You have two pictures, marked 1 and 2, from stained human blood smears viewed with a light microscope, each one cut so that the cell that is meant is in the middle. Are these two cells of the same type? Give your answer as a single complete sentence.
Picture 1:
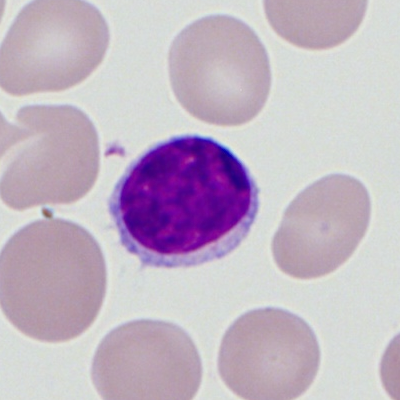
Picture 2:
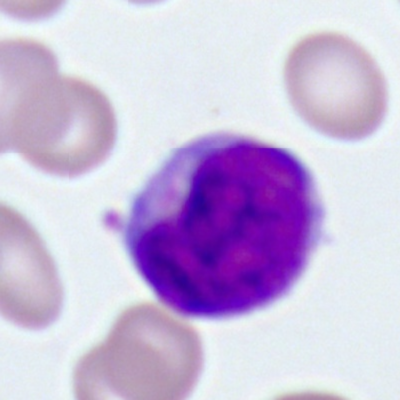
No; the cell in picture 1 is a lymphocyte, while the one in picture 2 is a myeloblast.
